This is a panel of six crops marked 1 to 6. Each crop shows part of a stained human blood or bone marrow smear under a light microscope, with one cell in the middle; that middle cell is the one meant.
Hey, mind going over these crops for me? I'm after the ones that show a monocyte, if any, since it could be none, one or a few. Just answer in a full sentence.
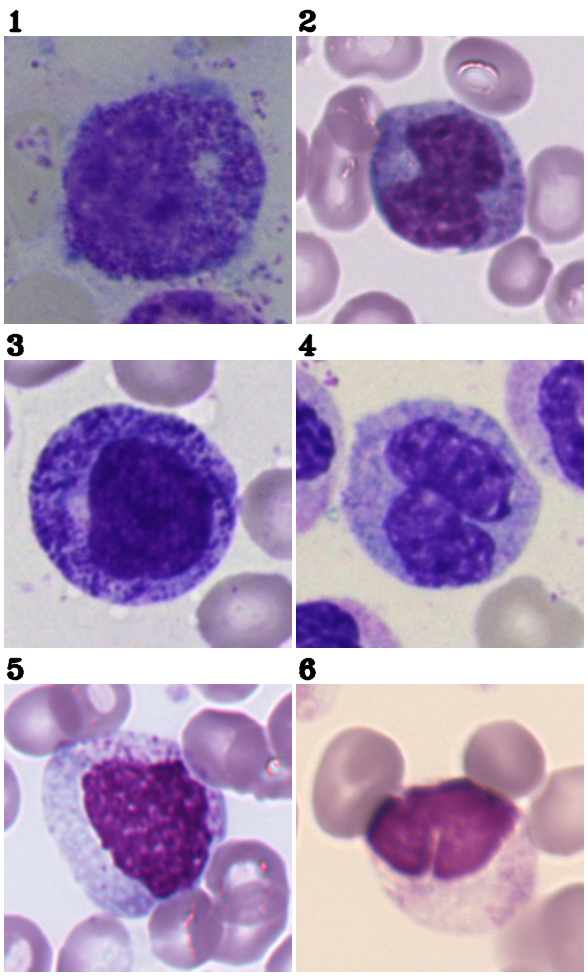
Within this set, crops 2 and 4 show monocytes.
